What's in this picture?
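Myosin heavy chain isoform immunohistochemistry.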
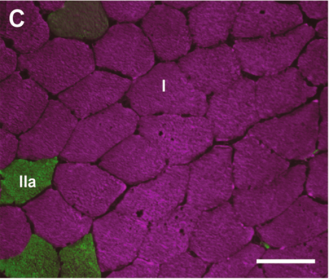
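Cross section of skeletal muscle in which the fibers appear as closely packed polygonal profiles of fairly even size. Each fiber is outlined by a thin dark line of connective tissue, and neighbouring fibers meet along flat faces, giving a mosaic. Nearly the whole field is filled with fibers coloured evenly pink, with a finely granular interior. Only a few fibers at the lower left corner are green, and one at the top left is a dull brownish tone. No nuclei stand out and the spaces between fibers are narrow throughout.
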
